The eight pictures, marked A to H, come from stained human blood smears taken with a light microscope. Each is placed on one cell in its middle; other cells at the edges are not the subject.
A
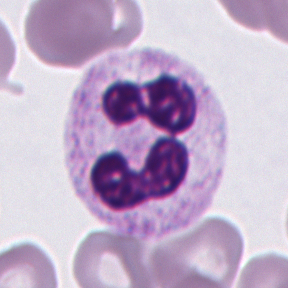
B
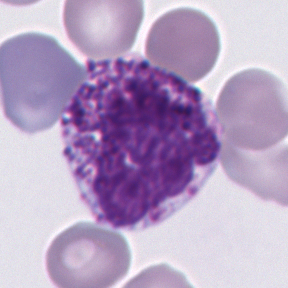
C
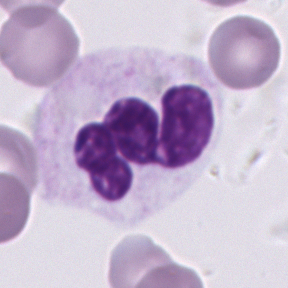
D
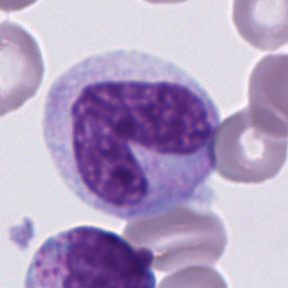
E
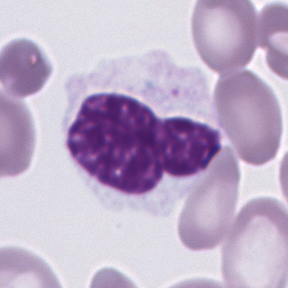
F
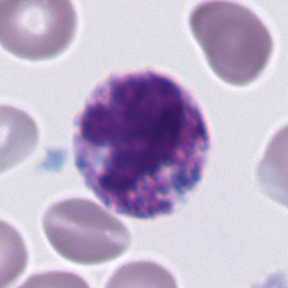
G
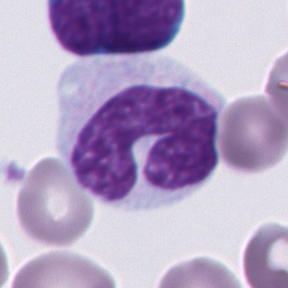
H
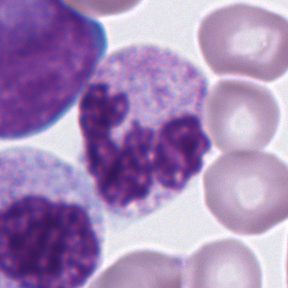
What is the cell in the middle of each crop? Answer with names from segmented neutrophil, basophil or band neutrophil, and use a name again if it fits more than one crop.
A: segmented neutrophil
B: basophil
C: segmented neutrophil
D: band neutrophil
E: segmented neutrophil
F: basophil
G: band neutrophil
H: segmented neutrophil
